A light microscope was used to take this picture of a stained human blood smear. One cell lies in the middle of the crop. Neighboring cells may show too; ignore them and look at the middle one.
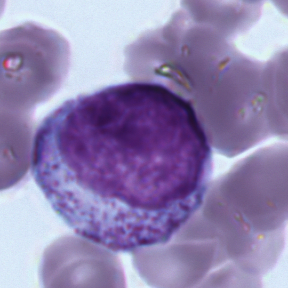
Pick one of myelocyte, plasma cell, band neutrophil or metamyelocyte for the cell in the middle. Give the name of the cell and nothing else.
myelocyte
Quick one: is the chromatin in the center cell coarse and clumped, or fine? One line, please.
The chromatin here is fine and lacks any coarse clumps.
